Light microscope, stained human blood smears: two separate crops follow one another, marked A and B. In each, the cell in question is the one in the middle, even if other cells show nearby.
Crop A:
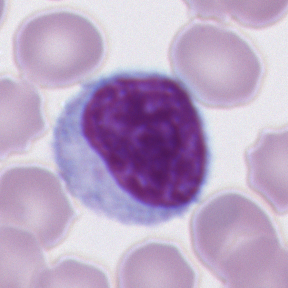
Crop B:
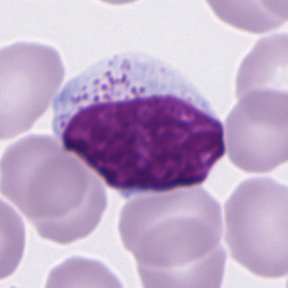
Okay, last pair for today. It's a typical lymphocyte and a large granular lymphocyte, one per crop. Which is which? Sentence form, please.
Crop B is a large granular lymphocyte, while crop A is a typical lymphocyte.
